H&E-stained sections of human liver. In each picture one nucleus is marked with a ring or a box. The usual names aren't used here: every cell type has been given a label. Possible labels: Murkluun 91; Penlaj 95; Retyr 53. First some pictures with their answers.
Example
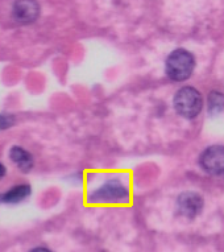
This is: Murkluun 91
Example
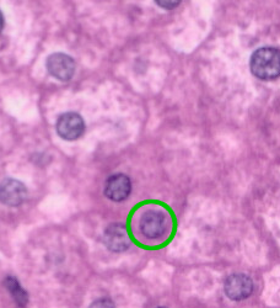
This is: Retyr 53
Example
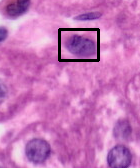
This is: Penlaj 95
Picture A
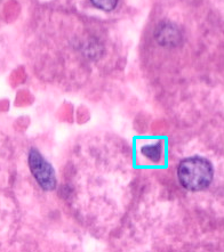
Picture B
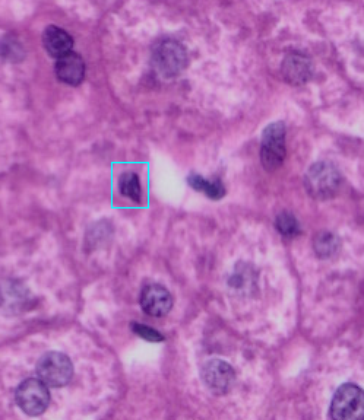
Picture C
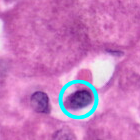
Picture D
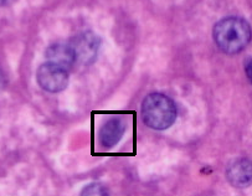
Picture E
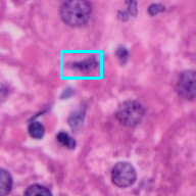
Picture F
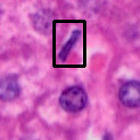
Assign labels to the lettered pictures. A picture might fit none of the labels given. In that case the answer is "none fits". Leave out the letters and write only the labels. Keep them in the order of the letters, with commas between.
Murkluun 91, none fits, Penlaj 95, Penlaj 95, Murkluun 91, Murkluun 91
